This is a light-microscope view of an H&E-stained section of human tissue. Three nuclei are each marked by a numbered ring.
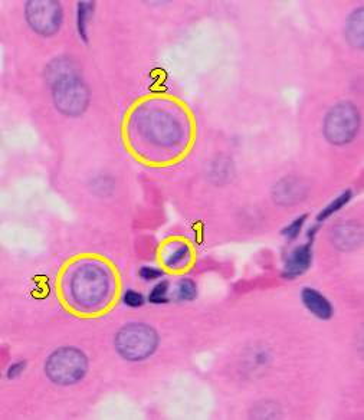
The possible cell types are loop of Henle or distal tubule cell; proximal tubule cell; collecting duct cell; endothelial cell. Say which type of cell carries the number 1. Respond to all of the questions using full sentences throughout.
Identified as an endothelial cell is the cell bearing the number 1.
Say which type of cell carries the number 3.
Number 3 among the marked cells is a proximal tubule cell.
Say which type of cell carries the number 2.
The cell with the number 2 is a proximal tubule cell.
